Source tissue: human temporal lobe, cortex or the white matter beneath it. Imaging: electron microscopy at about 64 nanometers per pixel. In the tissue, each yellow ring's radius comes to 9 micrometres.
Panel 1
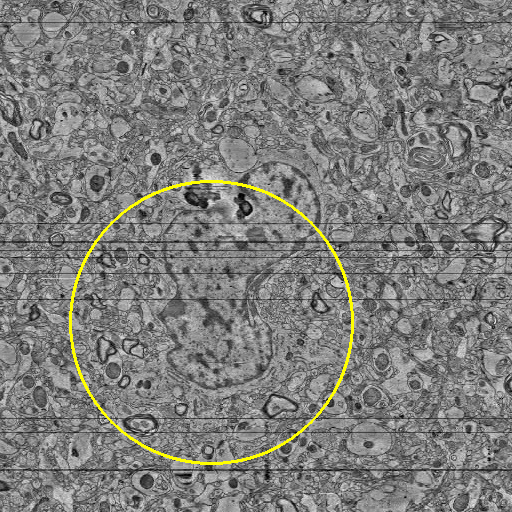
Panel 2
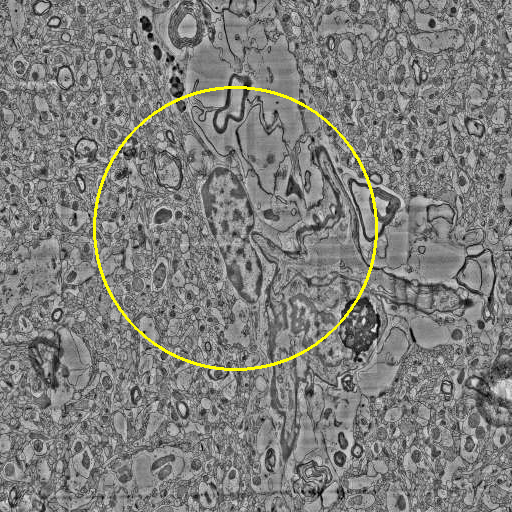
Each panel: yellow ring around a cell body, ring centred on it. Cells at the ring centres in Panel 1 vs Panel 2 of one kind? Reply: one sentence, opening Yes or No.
Yes, Panel 1 and Panel 2 have cells of one kind at the ring centres.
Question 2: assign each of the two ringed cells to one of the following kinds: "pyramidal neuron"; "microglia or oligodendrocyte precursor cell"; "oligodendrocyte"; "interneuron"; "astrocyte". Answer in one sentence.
Both the first and the second picture show a microglial cell or oligodendrocyte precursor cell in the ring.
